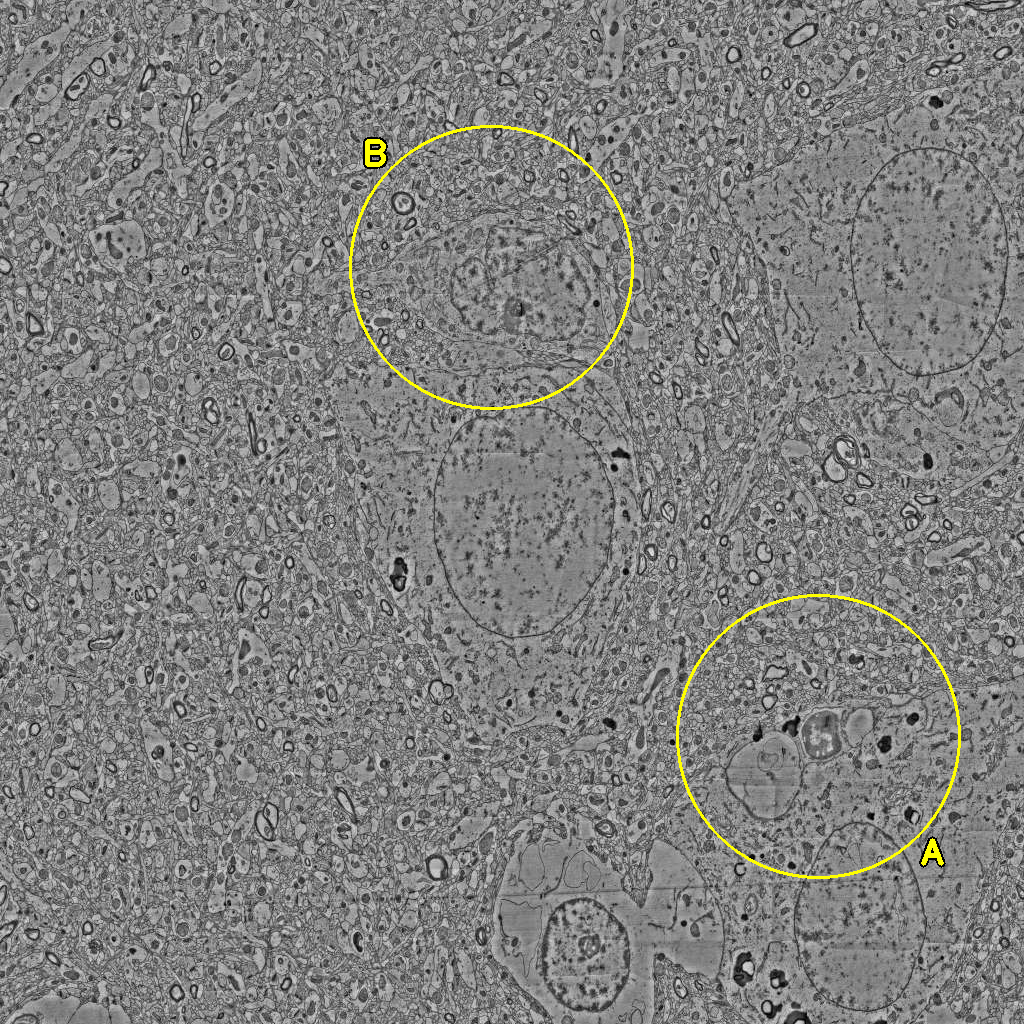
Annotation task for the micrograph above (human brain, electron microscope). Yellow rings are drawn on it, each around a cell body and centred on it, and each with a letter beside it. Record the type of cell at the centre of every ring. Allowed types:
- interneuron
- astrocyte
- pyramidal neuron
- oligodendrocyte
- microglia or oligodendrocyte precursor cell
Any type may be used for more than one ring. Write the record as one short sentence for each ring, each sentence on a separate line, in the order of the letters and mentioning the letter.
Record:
The cell centred in ring A is a microglial cell or oligodendrocyte precursor cell.
The cell centred in ring B is an interneuron.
